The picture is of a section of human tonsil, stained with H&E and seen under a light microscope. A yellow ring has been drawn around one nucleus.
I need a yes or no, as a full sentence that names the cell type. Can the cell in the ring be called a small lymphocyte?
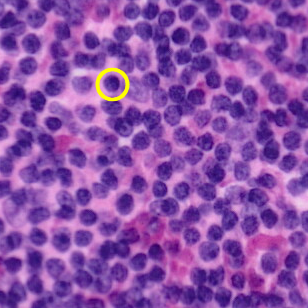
Yes, it is as a small lymphocyte that the cell in the ring is classified.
